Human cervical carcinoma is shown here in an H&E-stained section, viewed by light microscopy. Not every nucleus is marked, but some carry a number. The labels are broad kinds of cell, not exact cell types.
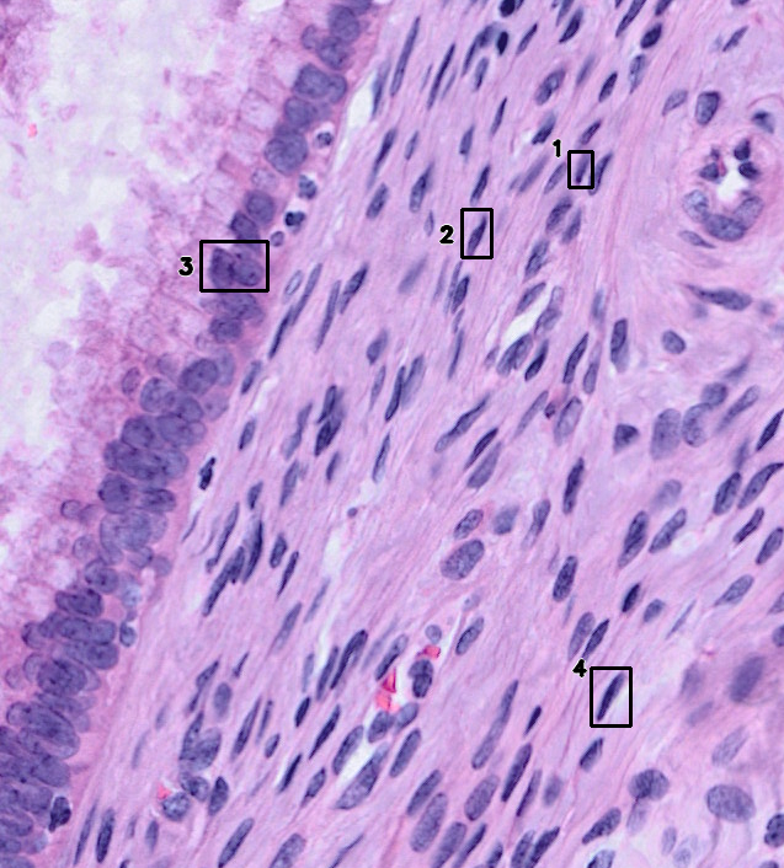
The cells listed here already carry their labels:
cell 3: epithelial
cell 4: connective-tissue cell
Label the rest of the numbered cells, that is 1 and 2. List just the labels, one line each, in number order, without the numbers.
connective-tissue cell
connective-tissue cell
